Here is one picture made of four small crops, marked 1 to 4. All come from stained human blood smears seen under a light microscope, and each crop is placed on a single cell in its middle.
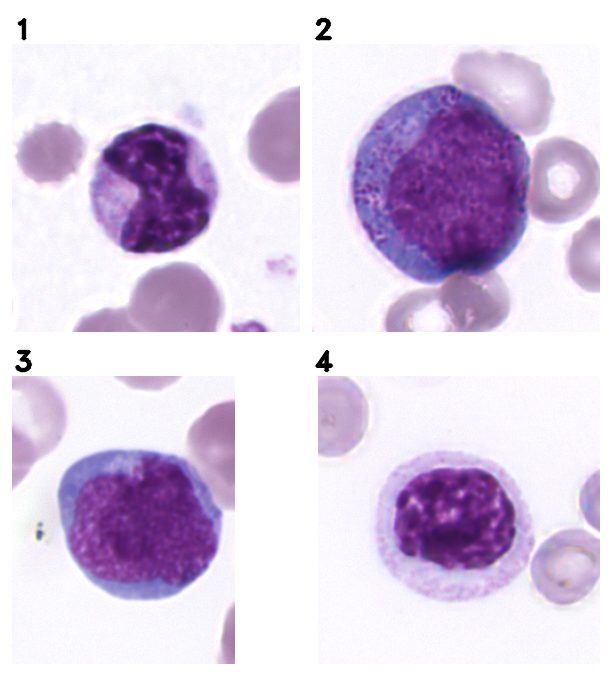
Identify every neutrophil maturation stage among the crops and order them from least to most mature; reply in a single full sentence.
In rising order of maturity, the crops are crop 3 (a blast), crop 2 (a promyelocyte), crop 4 (a metamyelocyte) and crop 1 (a band neutrophil).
